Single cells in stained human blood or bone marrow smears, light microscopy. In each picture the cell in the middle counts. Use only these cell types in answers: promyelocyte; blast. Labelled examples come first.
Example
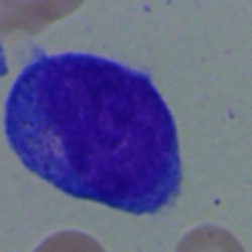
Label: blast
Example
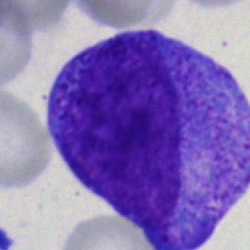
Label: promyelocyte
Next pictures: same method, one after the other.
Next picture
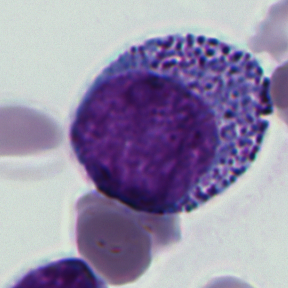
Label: promyelocyte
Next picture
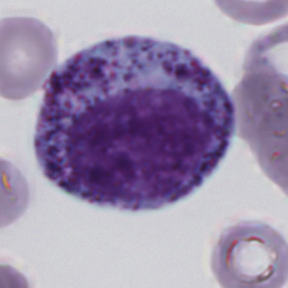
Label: promyelocyte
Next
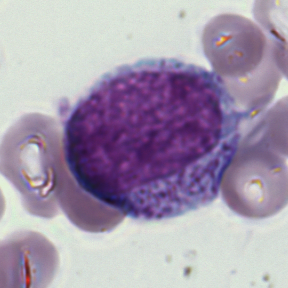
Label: promyelocyte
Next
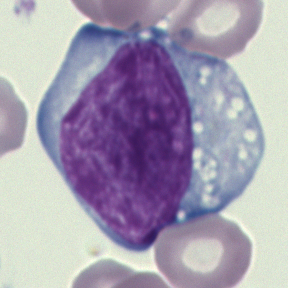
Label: blast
